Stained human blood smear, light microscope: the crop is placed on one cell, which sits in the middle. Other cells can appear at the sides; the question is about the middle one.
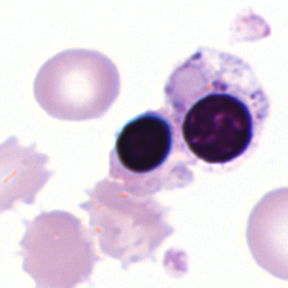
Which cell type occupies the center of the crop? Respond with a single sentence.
The center cell of this crop is a normoblast.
